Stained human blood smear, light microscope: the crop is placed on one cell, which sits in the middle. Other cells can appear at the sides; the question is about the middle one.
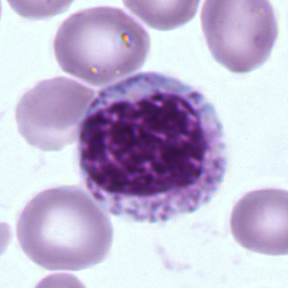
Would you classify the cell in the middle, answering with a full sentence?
The center cell of this crop is a metamyelocyte.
